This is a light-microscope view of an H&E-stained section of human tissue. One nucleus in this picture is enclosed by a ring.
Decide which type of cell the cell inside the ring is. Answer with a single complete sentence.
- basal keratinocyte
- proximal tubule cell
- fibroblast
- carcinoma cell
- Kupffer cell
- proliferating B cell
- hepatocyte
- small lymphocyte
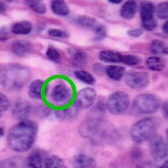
This is a proliferating B cell.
